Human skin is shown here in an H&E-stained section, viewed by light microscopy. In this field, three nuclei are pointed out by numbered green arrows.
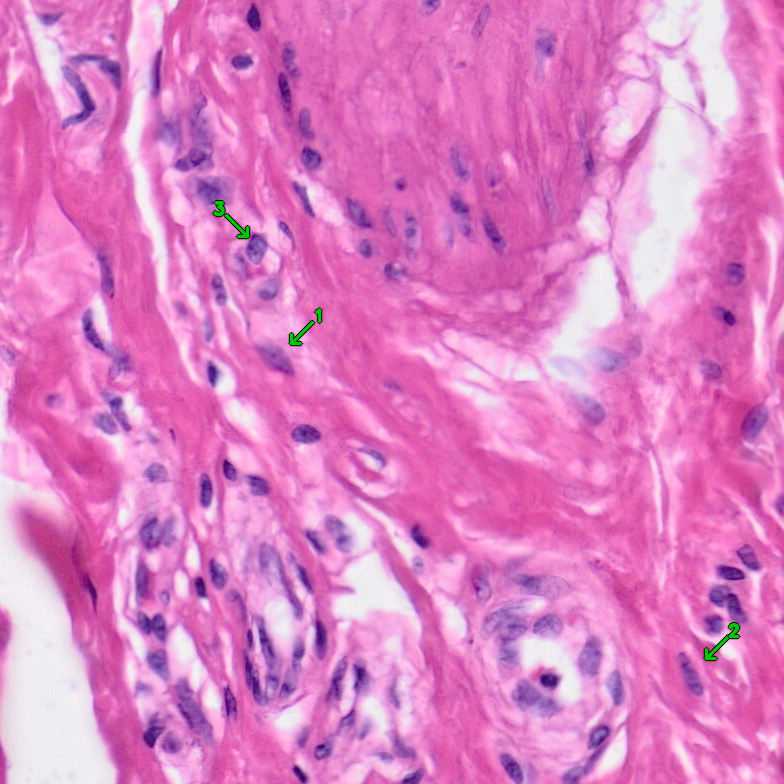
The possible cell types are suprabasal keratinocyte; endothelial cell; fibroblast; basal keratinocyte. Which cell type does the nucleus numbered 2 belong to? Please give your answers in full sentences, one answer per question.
The numeral 2 marks a fibroblast in this section.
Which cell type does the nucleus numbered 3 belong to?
Identified as an endothelial cell is the cell bearing the number 3.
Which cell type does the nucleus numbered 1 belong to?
The expected answer is that cell 1 is a fibroblast.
